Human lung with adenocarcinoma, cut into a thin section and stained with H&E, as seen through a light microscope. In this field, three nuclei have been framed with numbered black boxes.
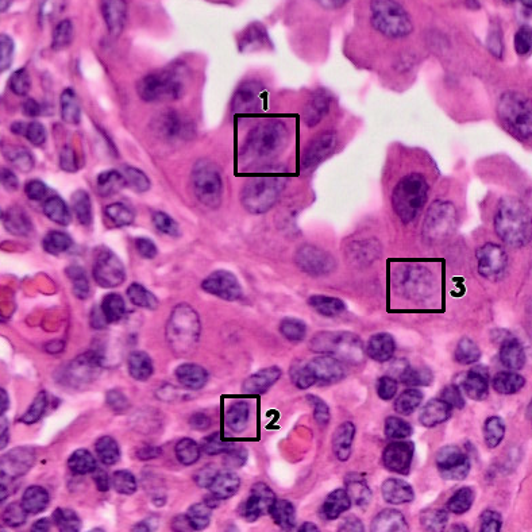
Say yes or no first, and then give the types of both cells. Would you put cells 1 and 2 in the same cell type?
No, cell 1 is a carcinoma cell, and as for cell 2, it is a lymphocyte.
